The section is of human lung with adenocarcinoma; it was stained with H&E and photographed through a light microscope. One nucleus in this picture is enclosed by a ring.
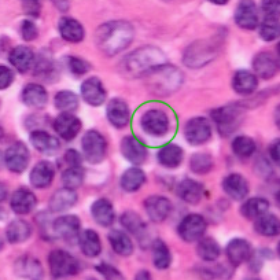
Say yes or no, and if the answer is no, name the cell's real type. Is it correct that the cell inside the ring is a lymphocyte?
Yes.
